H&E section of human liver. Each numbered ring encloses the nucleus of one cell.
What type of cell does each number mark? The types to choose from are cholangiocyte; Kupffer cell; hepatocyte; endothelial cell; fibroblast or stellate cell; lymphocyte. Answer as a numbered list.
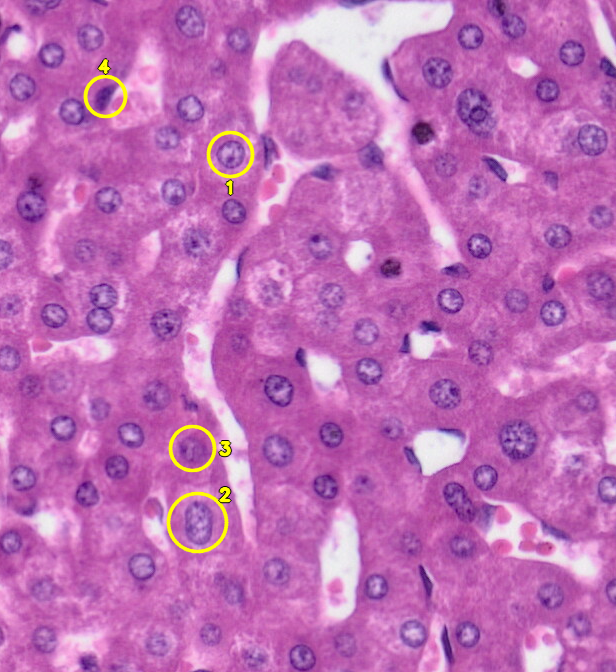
1. hepatocyte
2. hepatocyte
3. hepatocyte
4. fibroblast or stellate cell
